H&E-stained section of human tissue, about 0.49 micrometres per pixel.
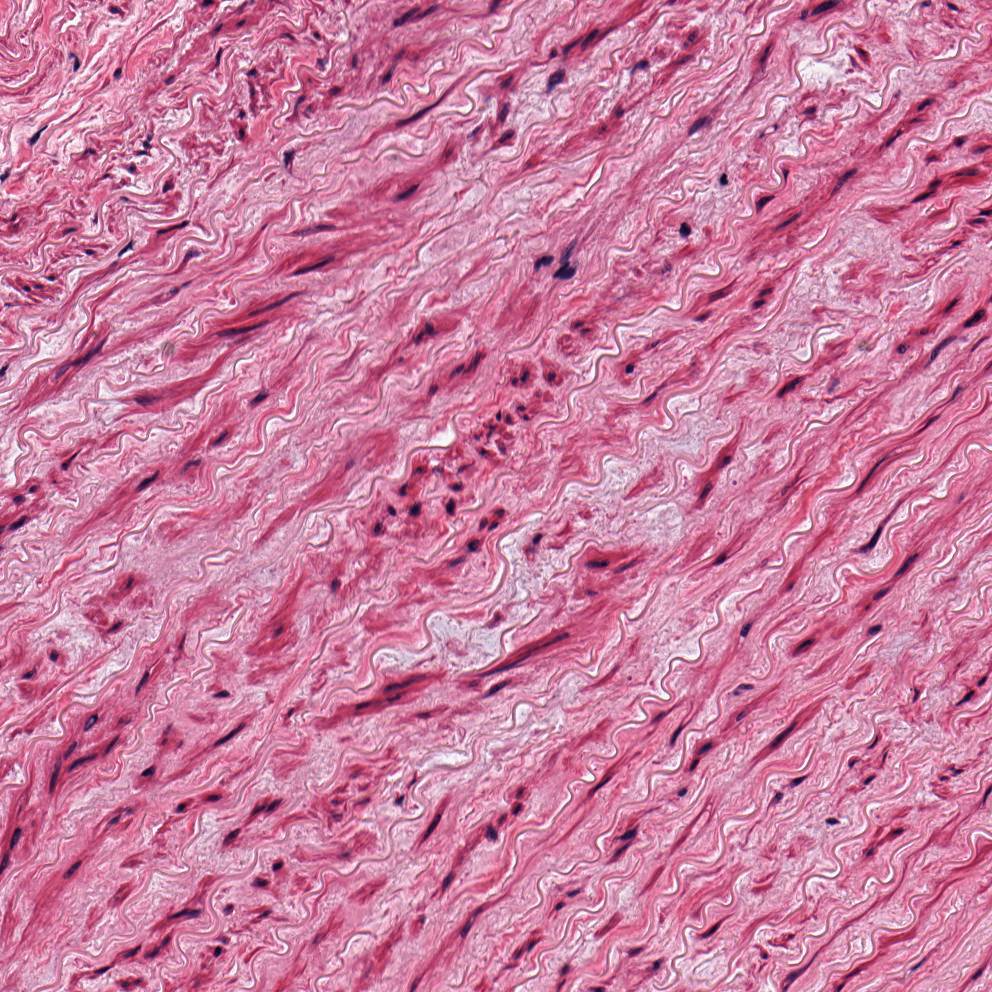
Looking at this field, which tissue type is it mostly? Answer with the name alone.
tunica media of an artery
